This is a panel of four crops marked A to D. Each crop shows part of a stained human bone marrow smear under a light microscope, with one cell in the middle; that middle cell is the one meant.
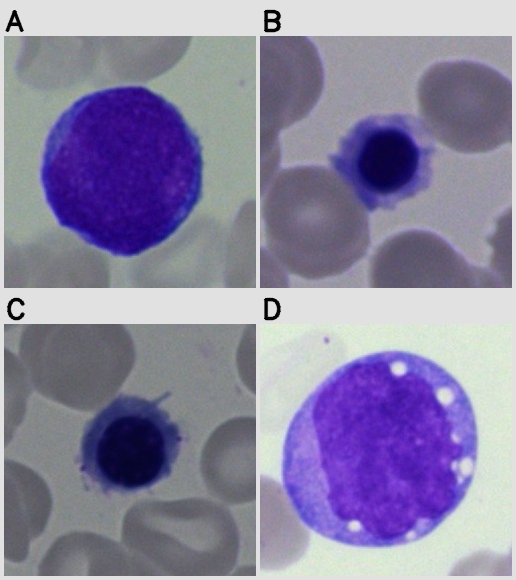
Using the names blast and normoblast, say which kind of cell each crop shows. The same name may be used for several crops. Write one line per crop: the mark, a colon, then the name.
A: blast
B: normoblast
C: normoblast
D: blast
